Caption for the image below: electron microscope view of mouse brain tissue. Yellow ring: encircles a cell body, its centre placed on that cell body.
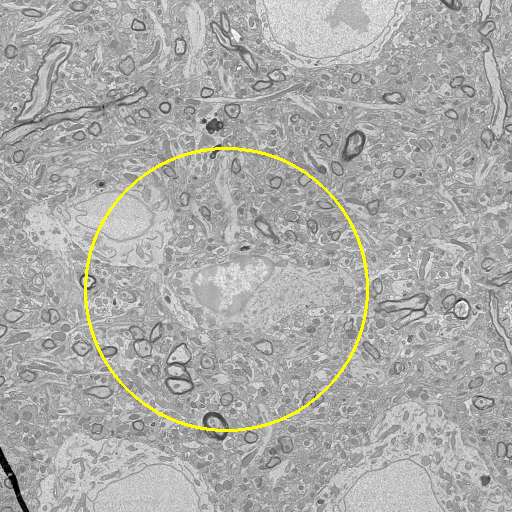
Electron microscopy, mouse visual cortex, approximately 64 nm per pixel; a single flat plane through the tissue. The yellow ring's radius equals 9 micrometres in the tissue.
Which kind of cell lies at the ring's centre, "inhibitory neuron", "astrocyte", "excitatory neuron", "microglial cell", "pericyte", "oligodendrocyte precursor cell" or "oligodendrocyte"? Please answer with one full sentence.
The picture shows an oligodendrocyte at the centre of the yellow ring.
